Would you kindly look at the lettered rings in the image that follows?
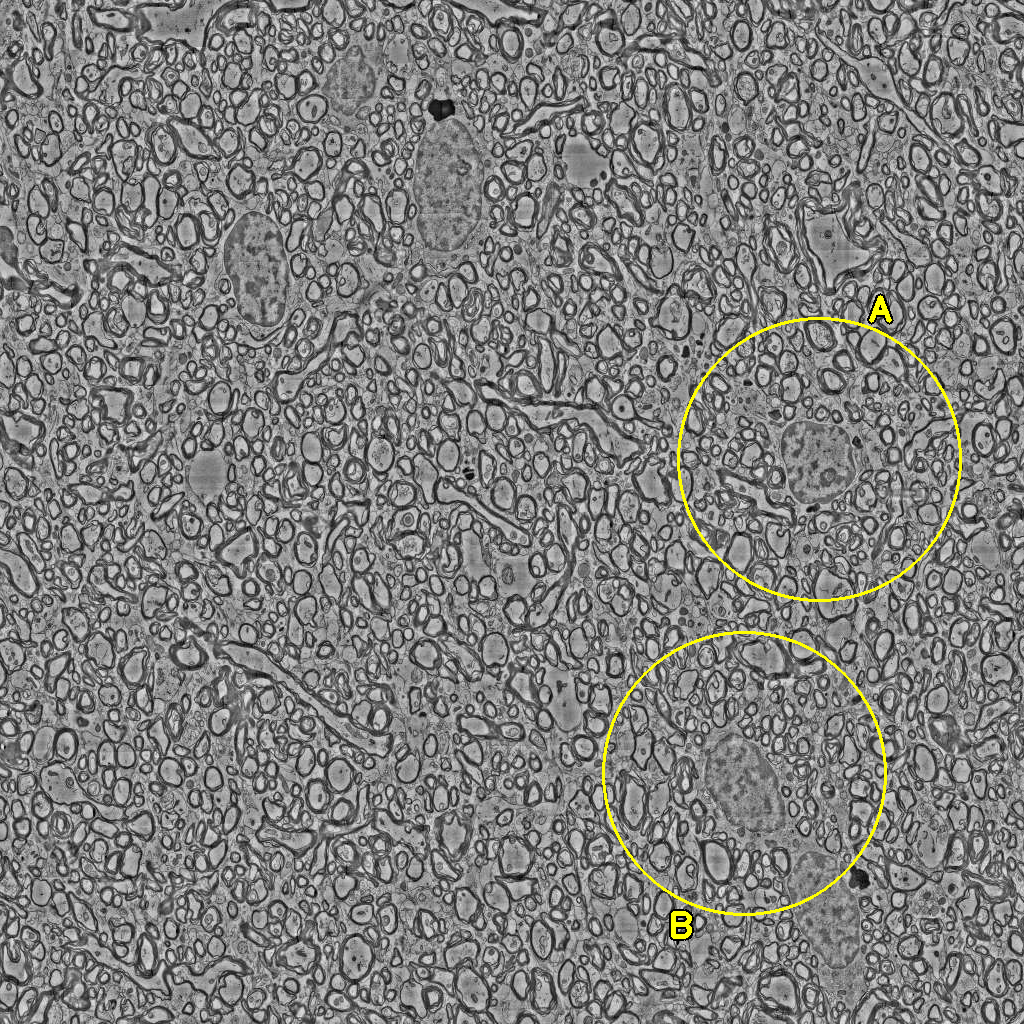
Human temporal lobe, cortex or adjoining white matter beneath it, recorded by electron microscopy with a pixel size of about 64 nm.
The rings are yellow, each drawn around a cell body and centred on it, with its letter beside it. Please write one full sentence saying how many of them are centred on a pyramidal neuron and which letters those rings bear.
Counting the rings centred on a pyramidal neuron gives zero, as there are none.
